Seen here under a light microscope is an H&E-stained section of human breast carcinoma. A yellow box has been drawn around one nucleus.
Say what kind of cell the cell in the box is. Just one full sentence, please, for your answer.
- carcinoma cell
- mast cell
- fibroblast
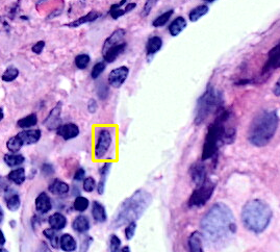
The category to which the cell in the box belongs is that of a mast cell.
